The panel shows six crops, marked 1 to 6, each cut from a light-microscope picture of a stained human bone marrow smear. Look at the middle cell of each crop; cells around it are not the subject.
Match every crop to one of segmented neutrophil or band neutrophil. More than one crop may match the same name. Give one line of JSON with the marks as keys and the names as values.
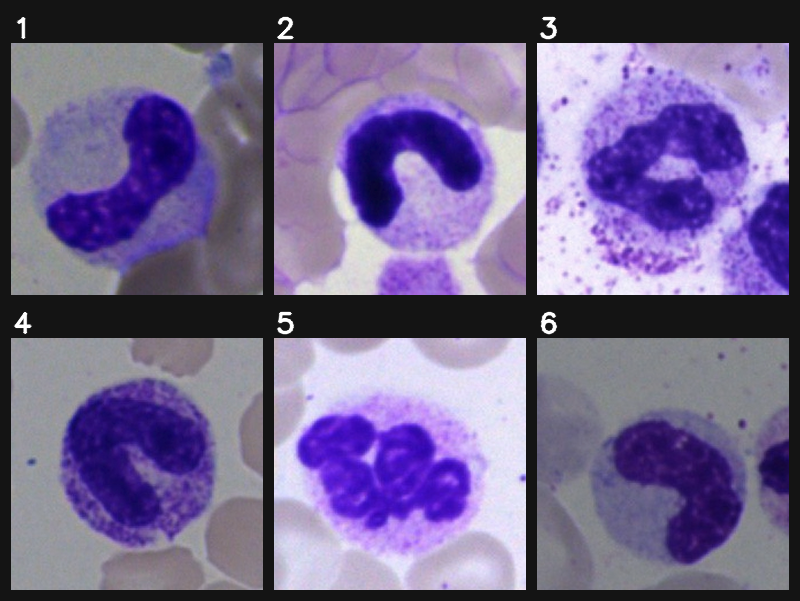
{"1": "band neutrophil", "2": "band neutrophil", "3": "segmented neutrophil", "4": "band neutrophil", "5": "segmented neutrophil", "6": "band neutrophil"}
